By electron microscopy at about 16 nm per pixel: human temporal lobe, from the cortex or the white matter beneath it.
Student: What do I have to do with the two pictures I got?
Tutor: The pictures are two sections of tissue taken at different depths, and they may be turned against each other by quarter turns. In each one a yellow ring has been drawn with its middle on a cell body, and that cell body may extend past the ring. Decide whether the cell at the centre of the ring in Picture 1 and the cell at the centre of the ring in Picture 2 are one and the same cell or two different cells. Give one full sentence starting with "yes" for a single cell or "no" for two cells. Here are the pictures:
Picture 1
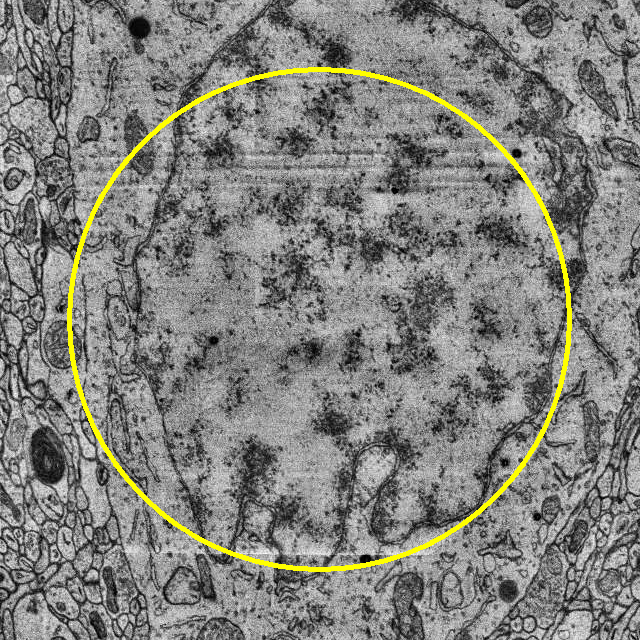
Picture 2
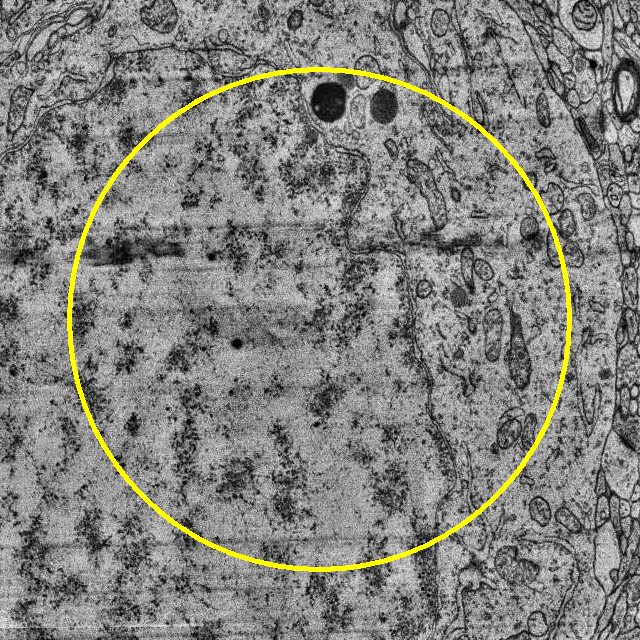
No, the two rings refer to two distinct cells.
